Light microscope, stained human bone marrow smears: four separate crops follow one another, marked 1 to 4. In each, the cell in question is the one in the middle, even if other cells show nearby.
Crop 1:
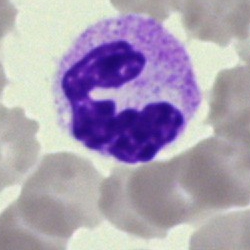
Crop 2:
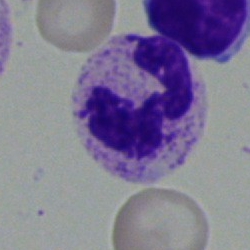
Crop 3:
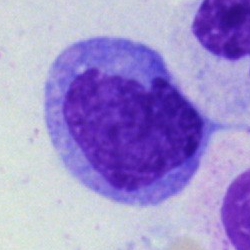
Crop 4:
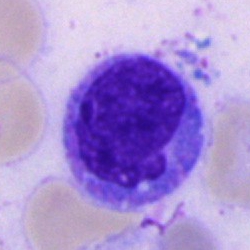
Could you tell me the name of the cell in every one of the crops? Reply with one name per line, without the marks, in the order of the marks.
neutrophil
neutrophil
monocyte
monocyte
